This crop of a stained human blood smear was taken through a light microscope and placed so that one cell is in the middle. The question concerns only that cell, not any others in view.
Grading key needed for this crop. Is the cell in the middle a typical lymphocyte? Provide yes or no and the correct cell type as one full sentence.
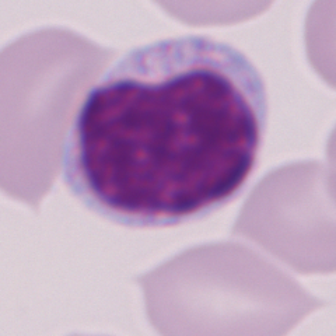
Yes, the middle cell is classified as a typical lymphocyte.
